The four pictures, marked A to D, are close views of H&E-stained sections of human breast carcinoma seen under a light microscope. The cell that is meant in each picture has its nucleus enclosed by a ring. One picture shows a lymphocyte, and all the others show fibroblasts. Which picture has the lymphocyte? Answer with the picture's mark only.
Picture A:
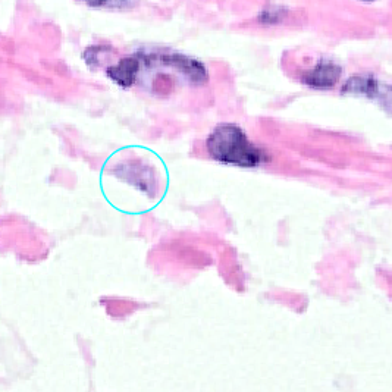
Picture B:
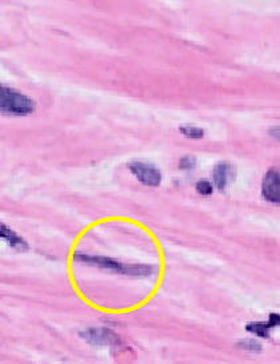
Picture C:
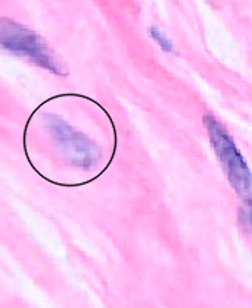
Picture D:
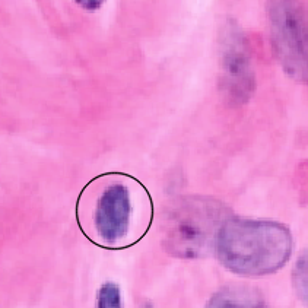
D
